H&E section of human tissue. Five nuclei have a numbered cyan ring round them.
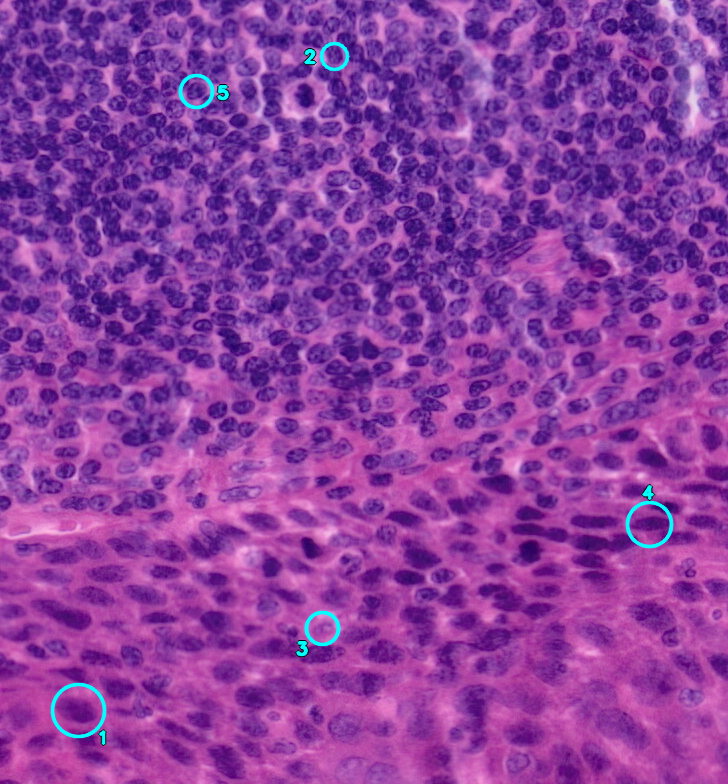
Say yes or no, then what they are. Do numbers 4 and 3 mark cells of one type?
Yes, the cells numbered 4 and 3 are both squamous epithelial cells.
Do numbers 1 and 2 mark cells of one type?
No, in contrast to cell 1, which is a squamous epithelial cell, cell 2 is a small lymphocyte.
